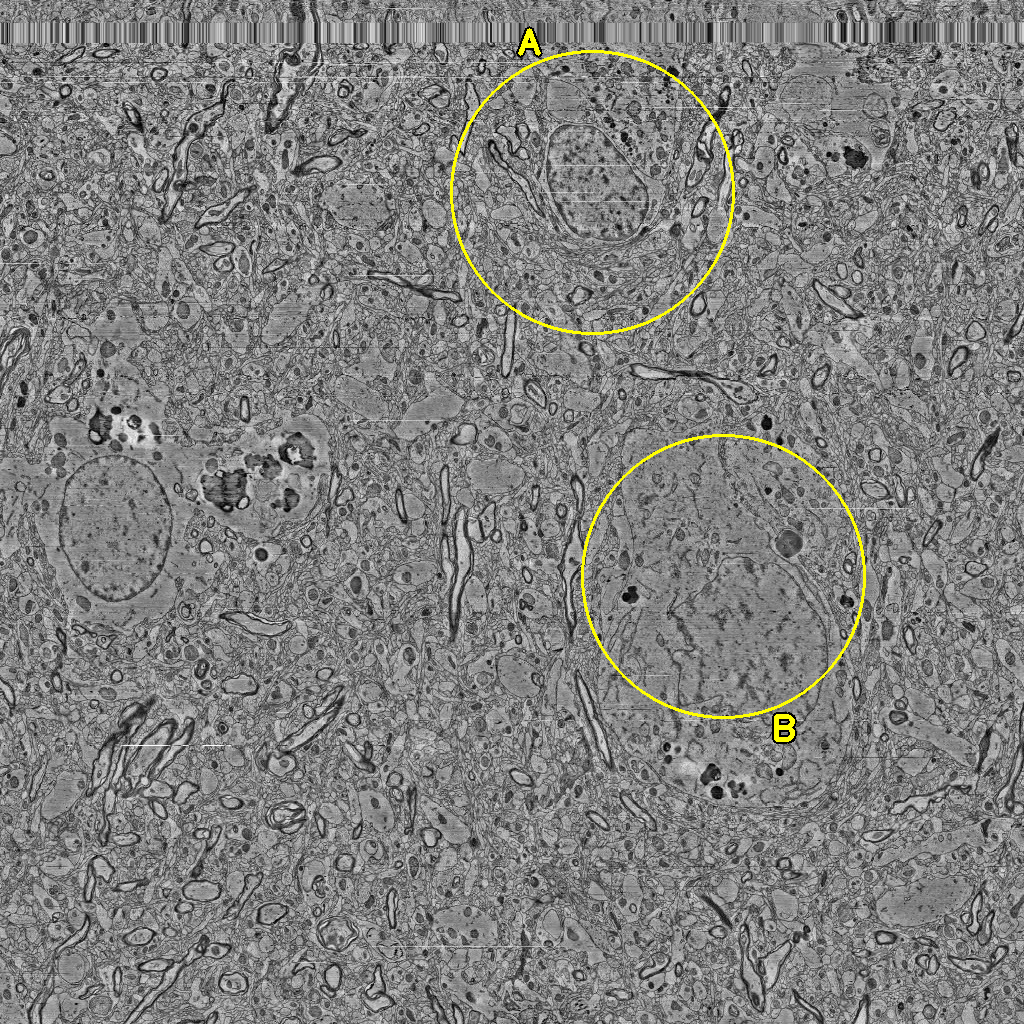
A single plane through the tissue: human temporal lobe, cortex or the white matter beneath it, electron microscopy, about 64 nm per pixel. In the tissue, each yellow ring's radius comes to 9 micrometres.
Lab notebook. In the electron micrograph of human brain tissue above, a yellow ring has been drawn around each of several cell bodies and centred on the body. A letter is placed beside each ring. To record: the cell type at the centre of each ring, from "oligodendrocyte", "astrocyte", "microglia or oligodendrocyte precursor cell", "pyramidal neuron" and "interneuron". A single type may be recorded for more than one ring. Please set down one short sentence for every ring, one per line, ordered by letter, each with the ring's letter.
The centre of ring A is occupied by a microglial cell or oligodendrocyte precursor cell.
The centre of ring B is occupied by a pyramidal neuron.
